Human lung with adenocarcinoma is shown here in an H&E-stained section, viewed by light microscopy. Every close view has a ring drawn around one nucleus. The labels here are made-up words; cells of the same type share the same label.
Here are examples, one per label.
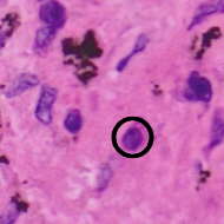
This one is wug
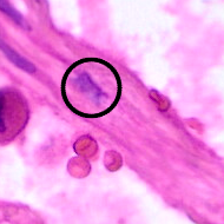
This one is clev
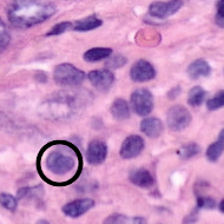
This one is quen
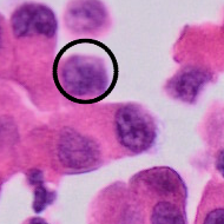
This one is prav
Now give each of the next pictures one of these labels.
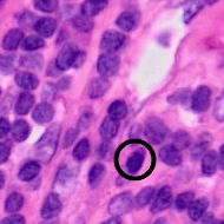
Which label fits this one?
quen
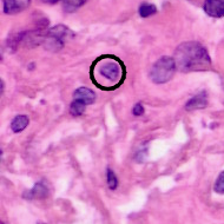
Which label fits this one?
quen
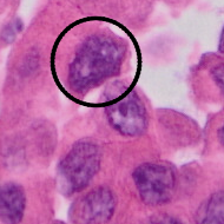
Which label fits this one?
prav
